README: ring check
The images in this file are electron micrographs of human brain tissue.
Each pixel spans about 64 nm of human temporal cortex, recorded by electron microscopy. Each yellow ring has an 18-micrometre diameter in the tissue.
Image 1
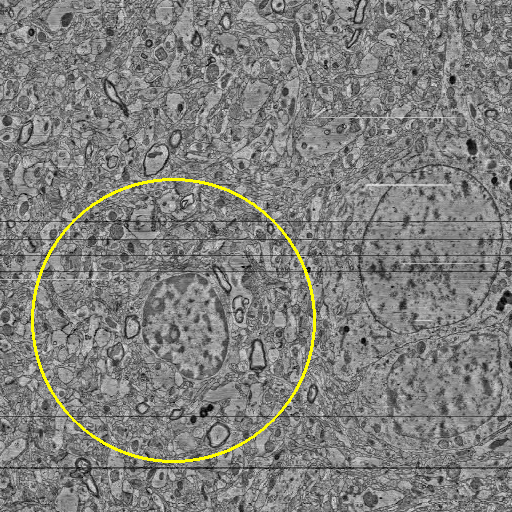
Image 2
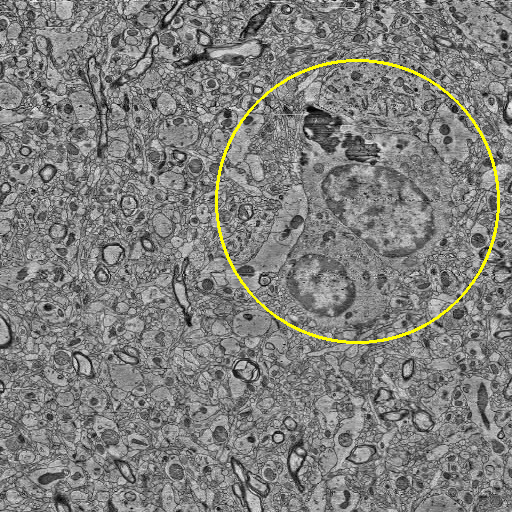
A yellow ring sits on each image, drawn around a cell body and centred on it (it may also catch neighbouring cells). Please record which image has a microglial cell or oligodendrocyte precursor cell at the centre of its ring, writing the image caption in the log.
Image 1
